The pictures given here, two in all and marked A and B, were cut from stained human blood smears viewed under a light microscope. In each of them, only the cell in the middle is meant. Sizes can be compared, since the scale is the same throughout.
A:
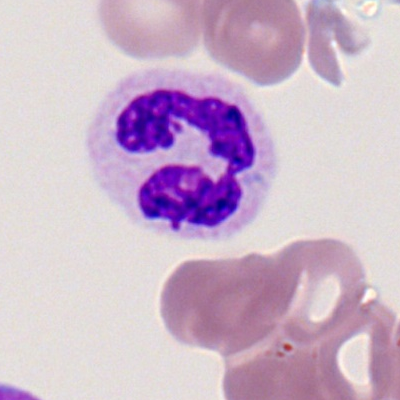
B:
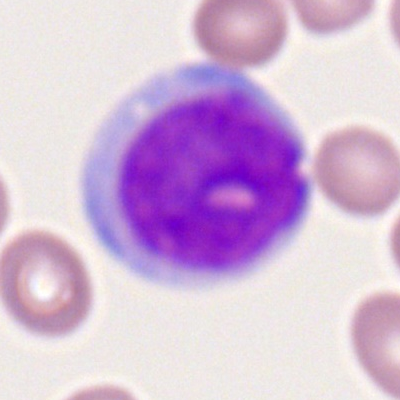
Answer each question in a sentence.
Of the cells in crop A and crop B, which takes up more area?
The cell in crop B is larger, with about 1.5 times the area of the one in crop A.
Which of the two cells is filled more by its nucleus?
It is the cell in crop B that is filled more by its nucleus.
